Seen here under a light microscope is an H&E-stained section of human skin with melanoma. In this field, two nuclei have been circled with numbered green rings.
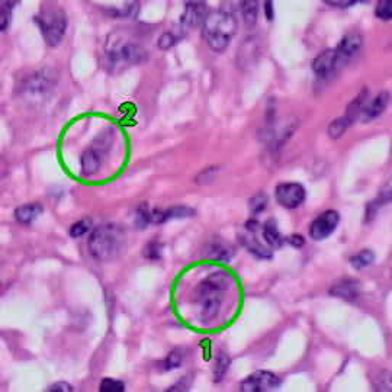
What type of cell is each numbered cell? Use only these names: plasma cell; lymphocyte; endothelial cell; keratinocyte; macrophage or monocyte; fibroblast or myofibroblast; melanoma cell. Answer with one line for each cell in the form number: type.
1: melanoma cell
2: fibroblast or myofibroblast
